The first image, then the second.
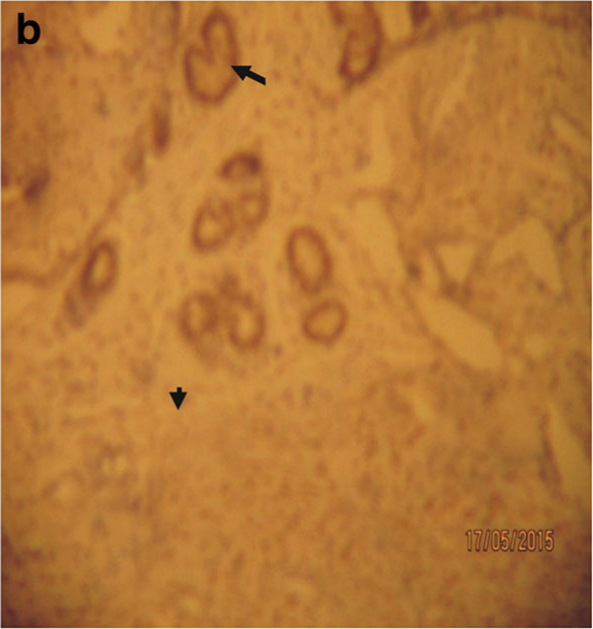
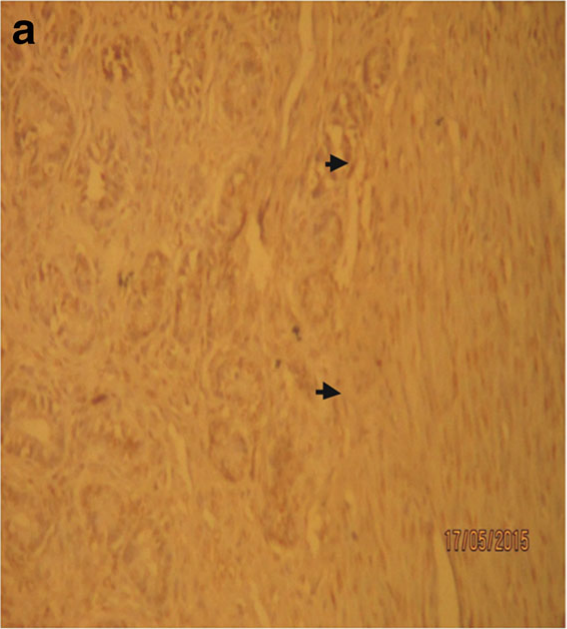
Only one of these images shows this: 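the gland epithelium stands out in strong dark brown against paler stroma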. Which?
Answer: the first image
